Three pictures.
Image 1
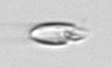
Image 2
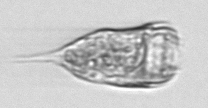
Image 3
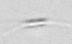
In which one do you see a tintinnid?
In picture 2.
